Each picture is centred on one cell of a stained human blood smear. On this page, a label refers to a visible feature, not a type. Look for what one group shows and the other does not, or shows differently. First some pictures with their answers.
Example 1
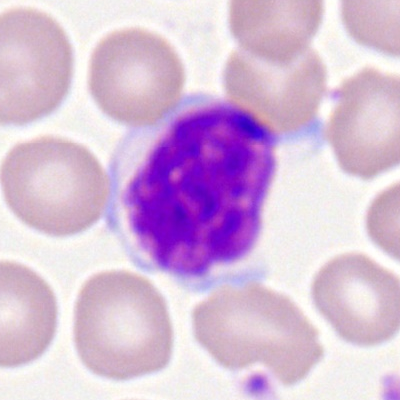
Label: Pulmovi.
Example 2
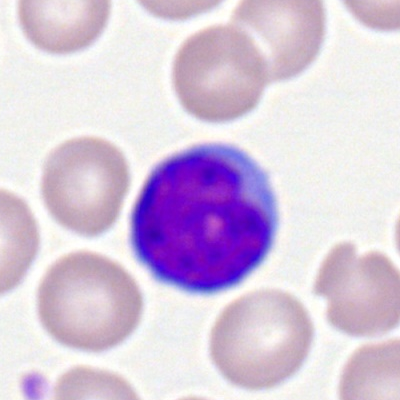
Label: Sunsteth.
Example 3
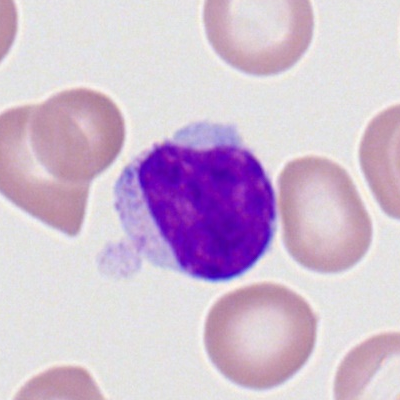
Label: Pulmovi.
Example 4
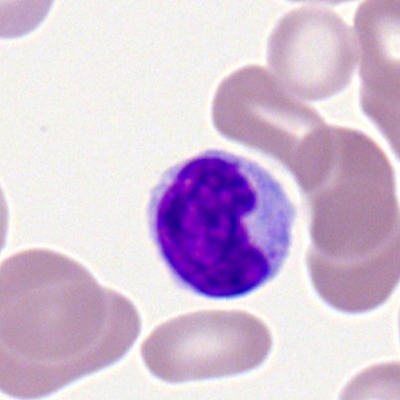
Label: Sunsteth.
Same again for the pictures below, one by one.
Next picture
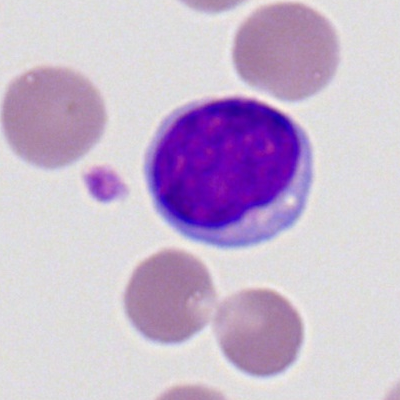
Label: Sunsteth.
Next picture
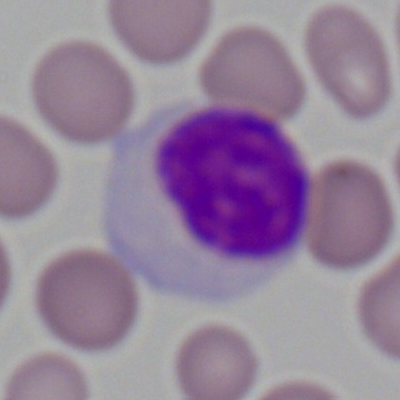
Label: Sunsteth.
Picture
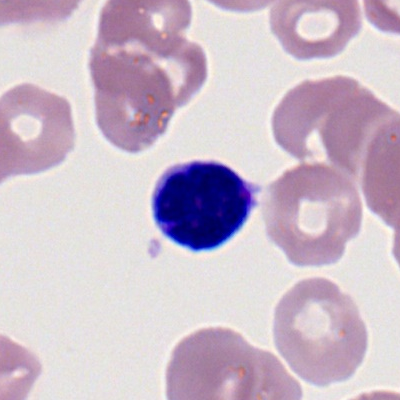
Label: Pulmovi.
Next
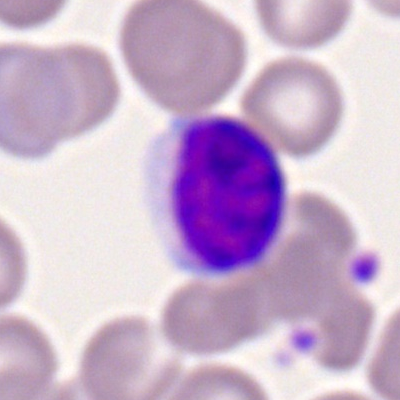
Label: Sunsteth.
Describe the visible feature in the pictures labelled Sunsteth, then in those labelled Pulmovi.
Sunsteth: smooth outline; Pulmovi: ragged outline or projections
